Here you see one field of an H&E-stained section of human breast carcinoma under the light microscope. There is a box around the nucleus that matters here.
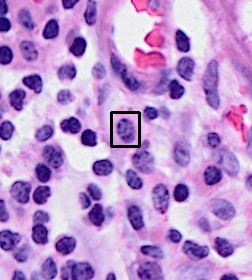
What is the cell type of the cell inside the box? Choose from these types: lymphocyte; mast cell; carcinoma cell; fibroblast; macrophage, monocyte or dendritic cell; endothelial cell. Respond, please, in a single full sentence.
Right, so the cell inside the box is a mast cell, to answer that.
